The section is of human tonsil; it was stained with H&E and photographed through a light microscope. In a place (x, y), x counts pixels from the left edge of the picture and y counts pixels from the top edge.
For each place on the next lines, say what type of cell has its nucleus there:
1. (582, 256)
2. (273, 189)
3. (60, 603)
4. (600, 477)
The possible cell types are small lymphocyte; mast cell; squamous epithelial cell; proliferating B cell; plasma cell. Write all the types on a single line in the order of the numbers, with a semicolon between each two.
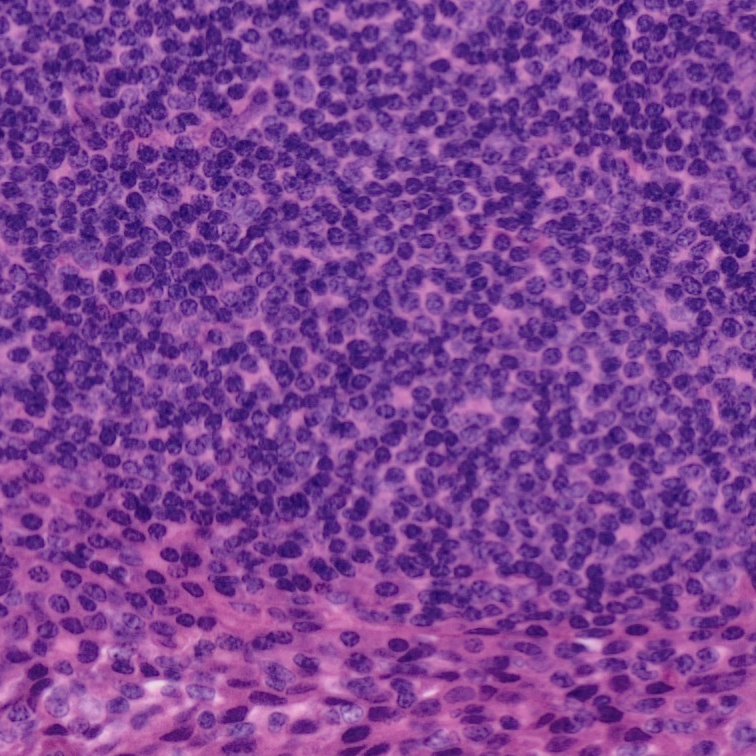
small lymphocyte; small lymphocyte; plasma cell; small lymphocyte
